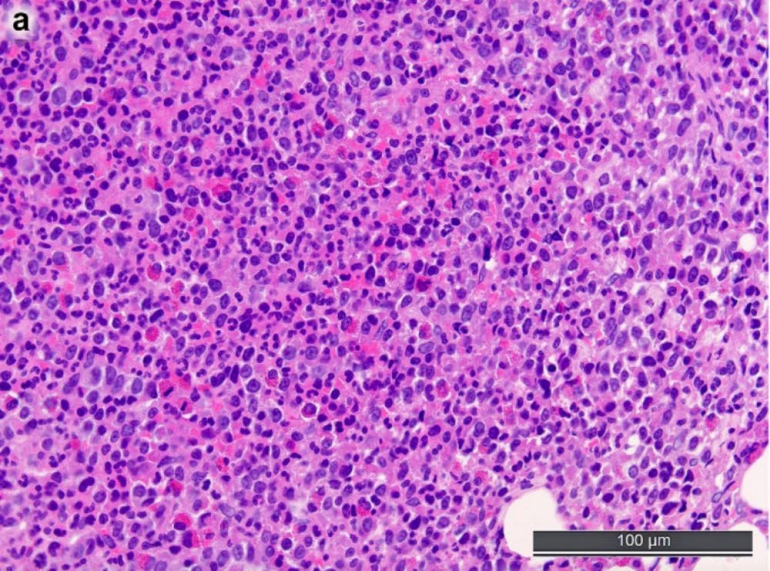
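Densely cellular bone marrow with haematopoietic cells filling nearly the whole field and only a little fat at the lower right corner. Most cells are maturing myeloid cells with band-shaped or segmented dark purple nuclei, mixed with larger cells with paler oval nuclei. Scattered throughout are cells with bright red-orange granular cytoplasm, the eosinophils.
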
